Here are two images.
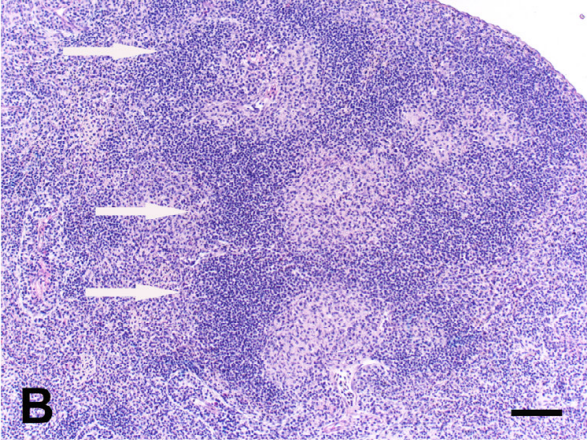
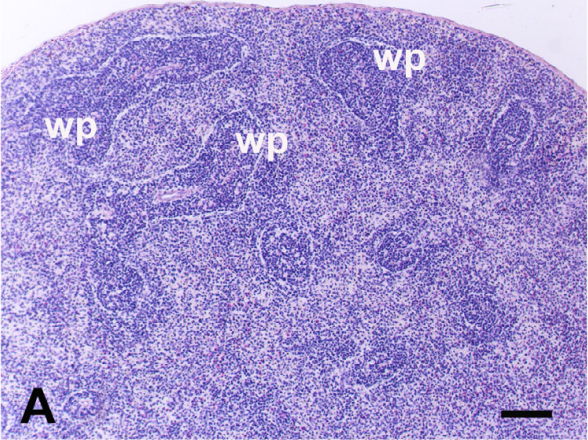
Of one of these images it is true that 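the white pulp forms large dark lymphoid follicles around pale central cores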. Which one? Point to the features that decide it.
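The first image. First image: broad dark blue cell-dense zones enclose large pale central areas.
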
